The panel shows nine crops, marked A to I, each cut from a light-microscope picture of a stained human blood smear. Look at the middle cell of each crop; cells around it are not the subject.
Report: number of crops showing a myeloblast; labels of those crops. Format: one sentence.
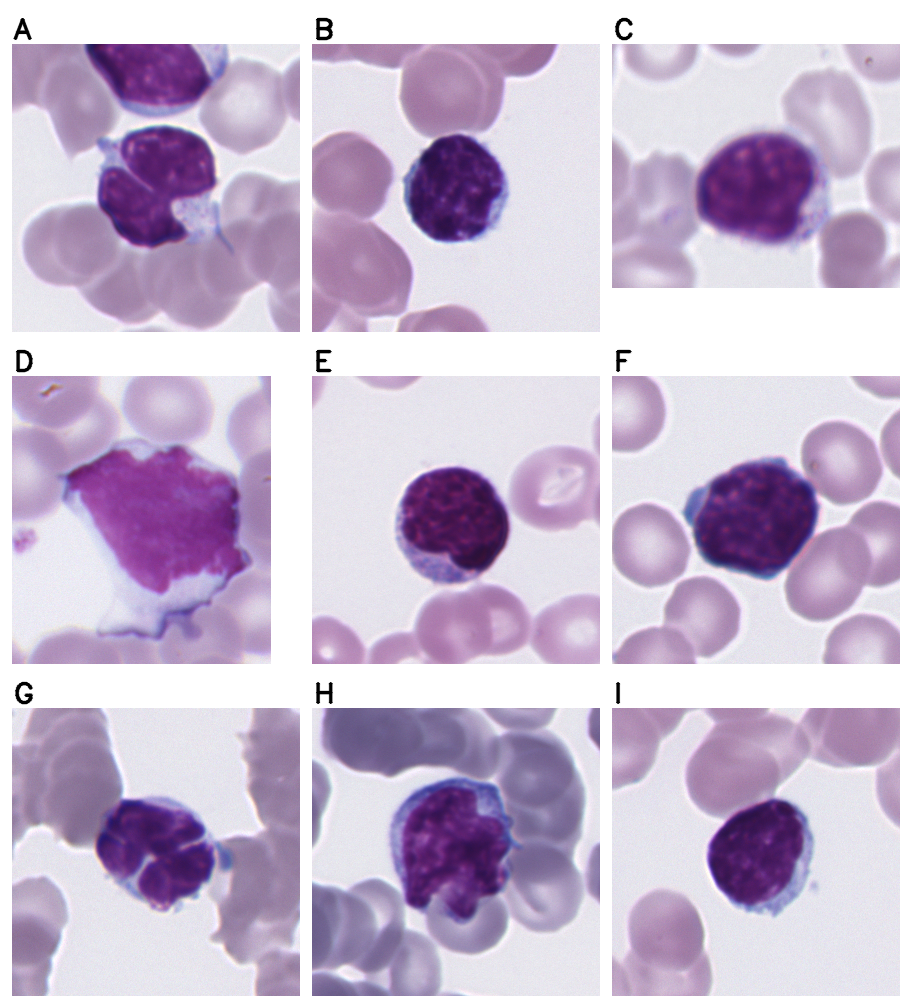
The crops contain no myeloblasts, so the count is zero.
